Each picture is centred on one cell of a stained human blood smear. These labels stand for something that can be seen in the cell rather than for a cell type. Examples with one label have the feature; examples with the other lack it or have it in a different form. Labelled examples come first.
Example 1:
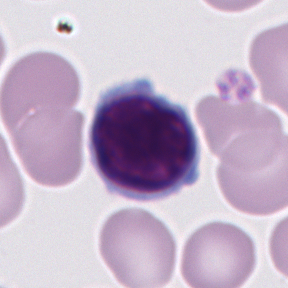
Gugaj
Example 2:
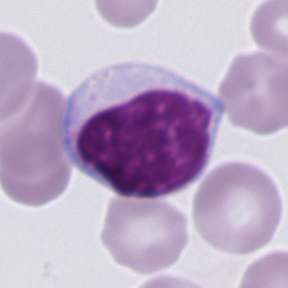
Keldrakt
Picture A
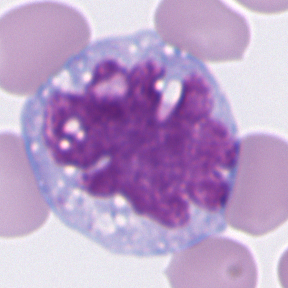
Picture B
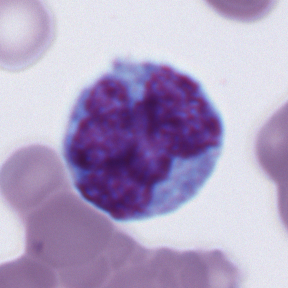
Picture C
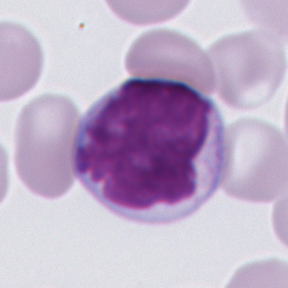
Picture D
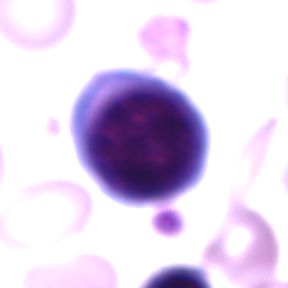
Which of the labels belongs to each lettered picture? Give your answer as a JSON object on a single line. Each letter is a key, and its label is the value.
{"A": "Keldrakt", "B": "Keldrakt", "C": "Keldrakt", "D": "Keldrakt"}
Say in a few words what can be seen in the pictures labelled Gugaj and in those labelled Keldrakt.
Gugaj: ragged outline or projections; Keldrakt: smooth outline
